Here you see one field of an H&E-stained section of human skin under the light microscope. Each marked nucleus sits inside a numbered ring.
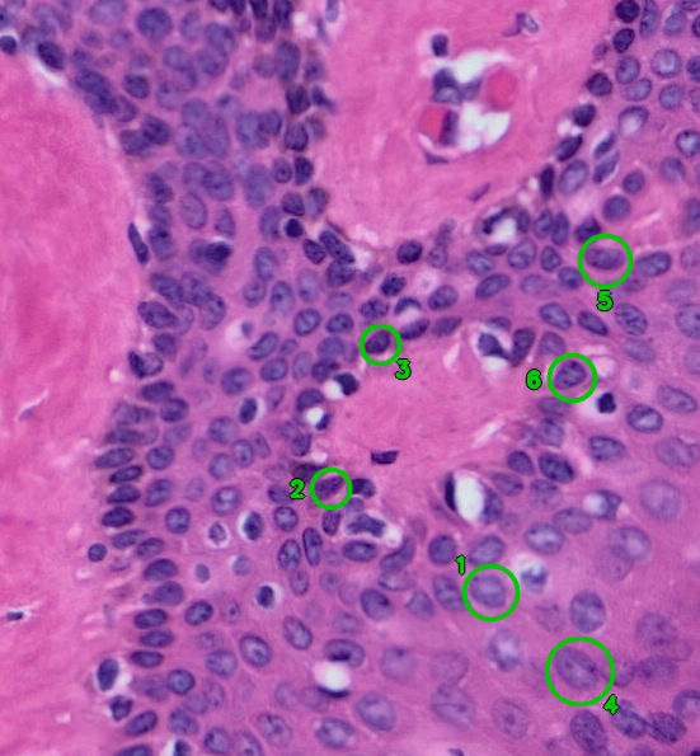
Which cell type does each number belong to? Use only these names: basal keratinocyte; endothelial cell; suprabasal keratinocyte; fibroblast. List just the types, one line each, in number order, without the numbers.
suprabasal keratinocyte
basal keratinocyte
basal keratinocyte
suprabasal keratinocyte
basal keratinocyte
basal keratinocyte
